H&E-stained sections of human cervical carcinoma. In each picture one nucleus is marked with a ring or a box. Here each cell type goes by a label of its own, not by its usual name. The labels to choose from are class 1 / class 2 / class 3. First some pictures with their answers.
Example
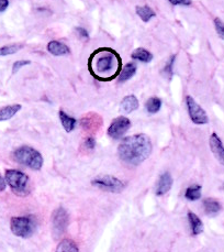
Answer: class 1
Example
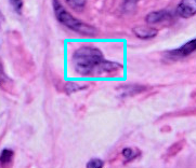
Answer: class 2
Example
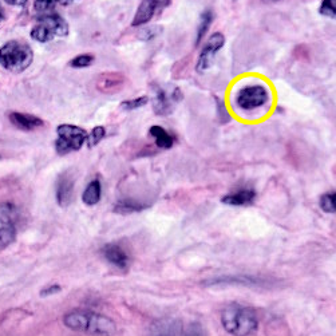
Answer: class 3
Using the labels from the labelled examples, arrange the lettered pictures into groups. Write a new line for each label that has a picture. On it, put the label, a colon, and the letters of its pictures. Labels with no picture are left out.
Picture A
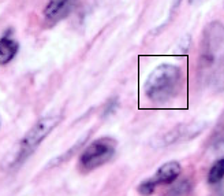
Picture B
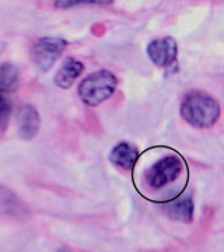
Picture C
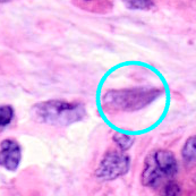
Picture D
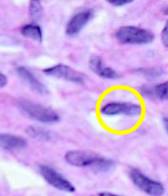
class 1: C, D
class 2: A
class 3: B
